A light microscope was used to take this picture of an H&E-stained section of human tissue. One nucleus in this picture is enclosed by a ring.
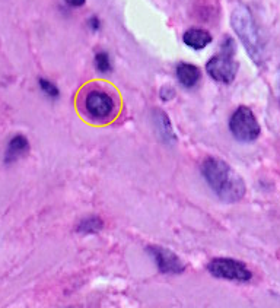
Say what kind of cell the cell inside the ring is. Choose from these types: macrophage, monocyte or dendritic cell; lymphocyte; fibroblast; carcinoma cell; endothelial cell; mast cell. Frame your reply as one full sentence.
The expected answer is simply that the cell inside the ring is a mast cell.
